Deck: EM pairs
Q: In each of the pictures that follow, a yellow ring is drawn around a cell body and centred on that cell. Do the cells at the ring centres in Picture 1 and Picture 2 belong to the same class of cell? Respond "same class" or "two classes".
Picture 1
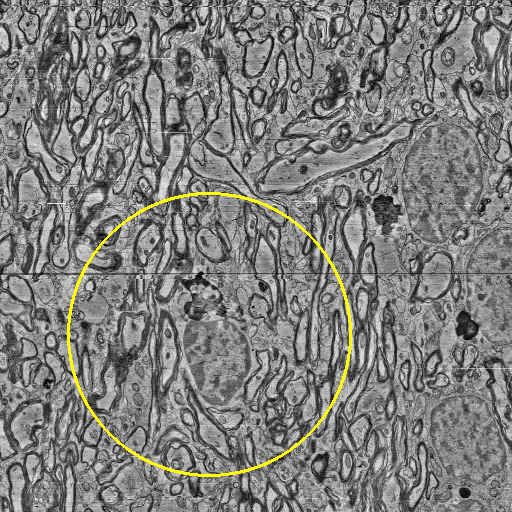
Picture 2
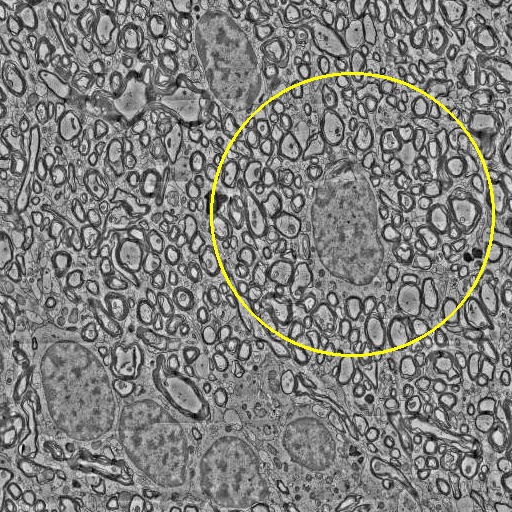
two classes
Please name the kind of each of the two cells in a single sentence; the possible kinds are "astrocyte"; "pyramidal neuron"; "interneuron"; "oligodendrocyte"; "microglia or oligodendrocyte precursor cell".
In the first picture the ring is centred on a microglial cell or oligodendrocyte precursor cell, and in the second on an oligodendrocyte.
